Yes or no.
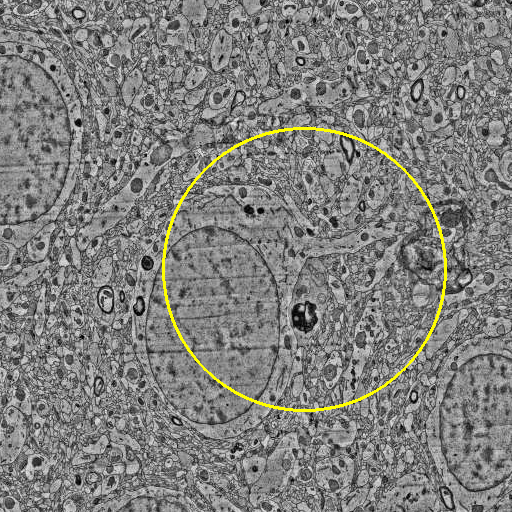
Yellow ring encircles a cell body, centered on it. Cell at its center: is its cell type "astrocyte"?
no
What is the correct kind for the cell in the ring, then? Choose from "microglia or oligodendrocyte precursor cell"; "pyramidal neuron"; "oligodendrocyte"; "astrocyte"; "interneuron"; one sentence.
Instead, the cell at the centre of the ring is an oligodendrocyte.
